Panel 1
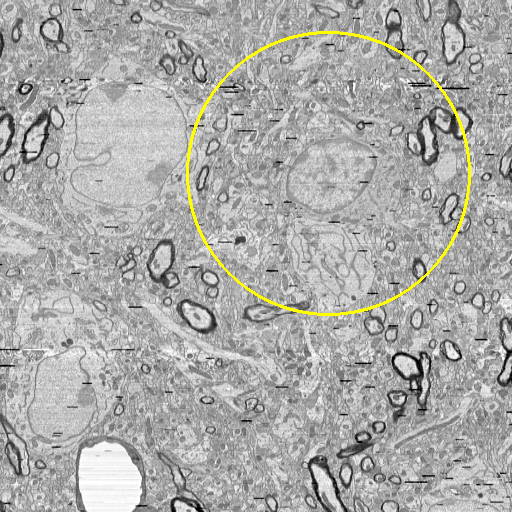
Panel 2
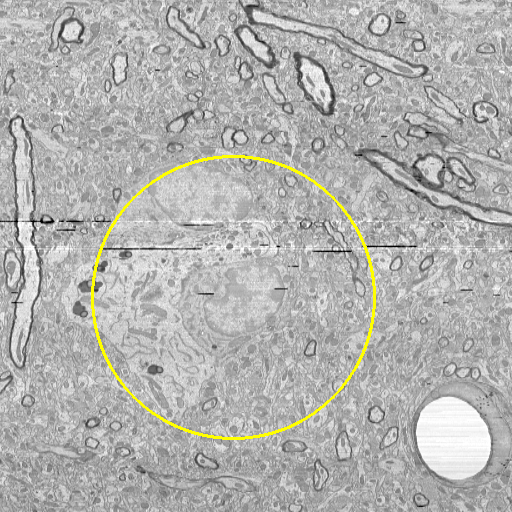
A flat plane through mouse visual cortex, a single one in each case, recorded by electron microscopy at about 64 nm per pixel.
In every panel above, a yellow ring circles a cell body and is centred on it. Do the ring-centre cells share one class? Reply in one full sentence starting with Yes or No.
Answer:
Yes, the two cells at the ring centres in the panels belong to one class.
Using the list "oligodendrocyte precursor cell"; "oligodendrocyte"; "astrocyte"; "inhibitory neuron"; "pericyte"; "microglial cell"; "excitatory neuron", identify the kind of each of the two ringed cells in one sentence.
In each picture the ringed cell is an oligodendrocyte.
